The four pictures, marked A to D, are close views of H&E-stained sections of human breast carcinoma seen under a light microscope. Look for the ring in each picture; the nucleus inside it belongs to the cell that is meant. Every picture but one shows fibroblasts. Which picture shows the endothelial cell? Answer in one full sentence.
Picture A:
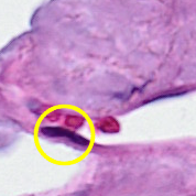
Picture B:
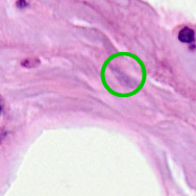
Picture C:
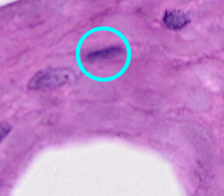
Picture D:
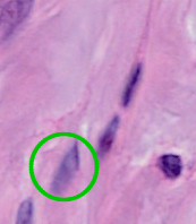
The cell in picture A is the endothelial cell.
